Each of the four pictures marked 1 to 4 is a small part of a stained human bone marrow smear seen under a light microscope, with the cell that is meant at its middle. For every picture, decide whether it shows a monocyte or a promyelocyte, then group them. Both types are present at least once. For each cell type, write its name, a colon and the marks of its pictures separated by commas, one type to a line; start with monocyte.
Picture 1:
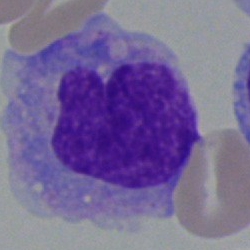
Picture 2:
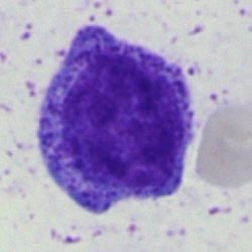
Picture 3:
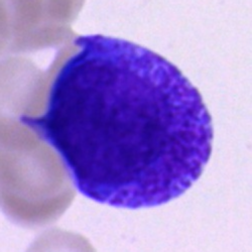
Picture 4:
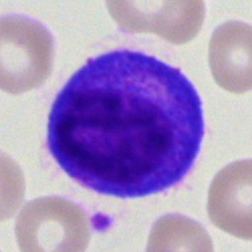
monocyte: 1
promyelocyte: 2, 3, 4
